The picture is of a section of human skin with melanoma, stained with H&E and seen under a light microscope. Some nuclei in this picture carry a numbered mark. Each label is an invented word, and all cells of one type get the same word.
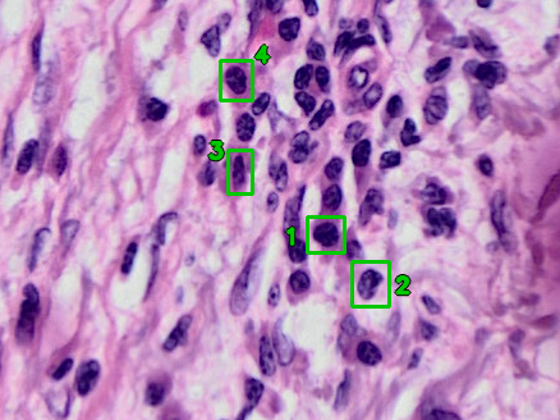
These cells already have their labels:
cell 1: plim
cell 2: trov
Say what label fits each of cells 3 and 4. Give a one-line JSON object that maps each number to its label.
{"3": "plim", "4": "plim"}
